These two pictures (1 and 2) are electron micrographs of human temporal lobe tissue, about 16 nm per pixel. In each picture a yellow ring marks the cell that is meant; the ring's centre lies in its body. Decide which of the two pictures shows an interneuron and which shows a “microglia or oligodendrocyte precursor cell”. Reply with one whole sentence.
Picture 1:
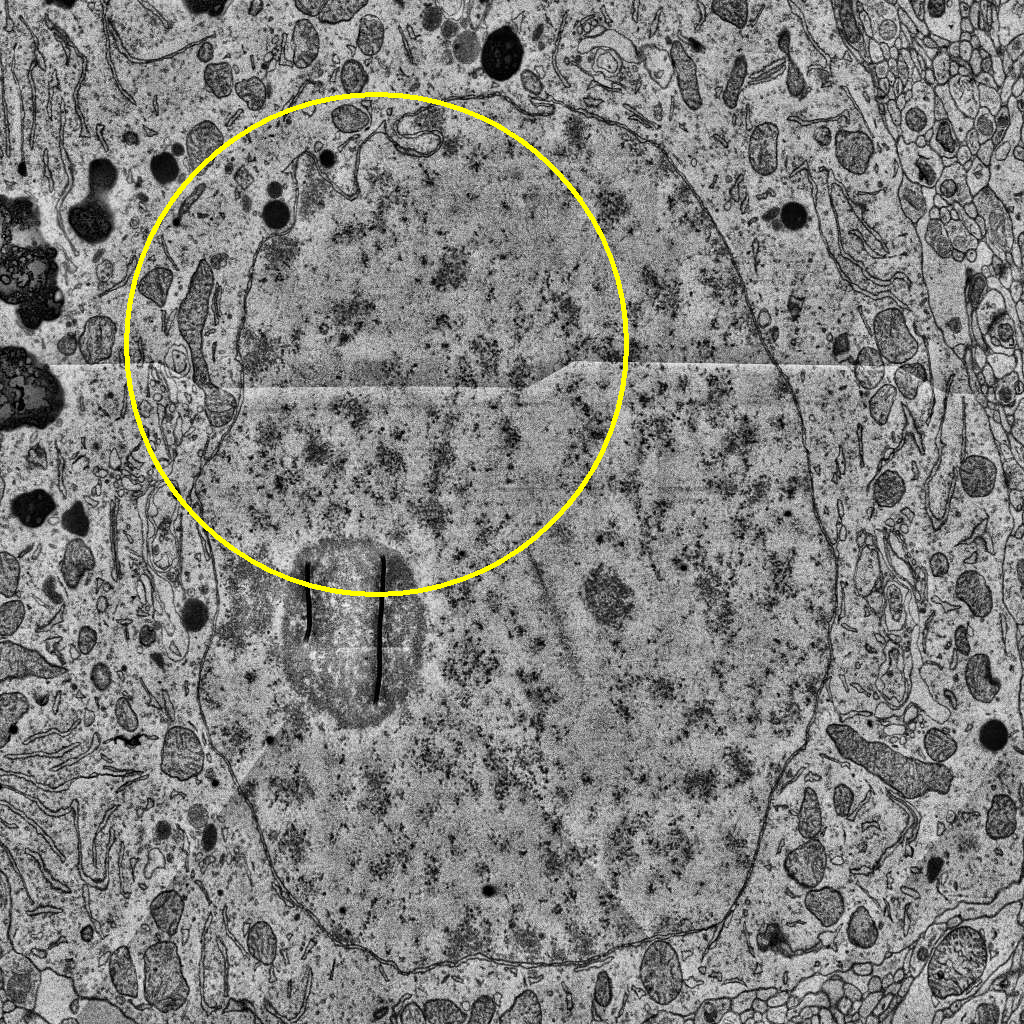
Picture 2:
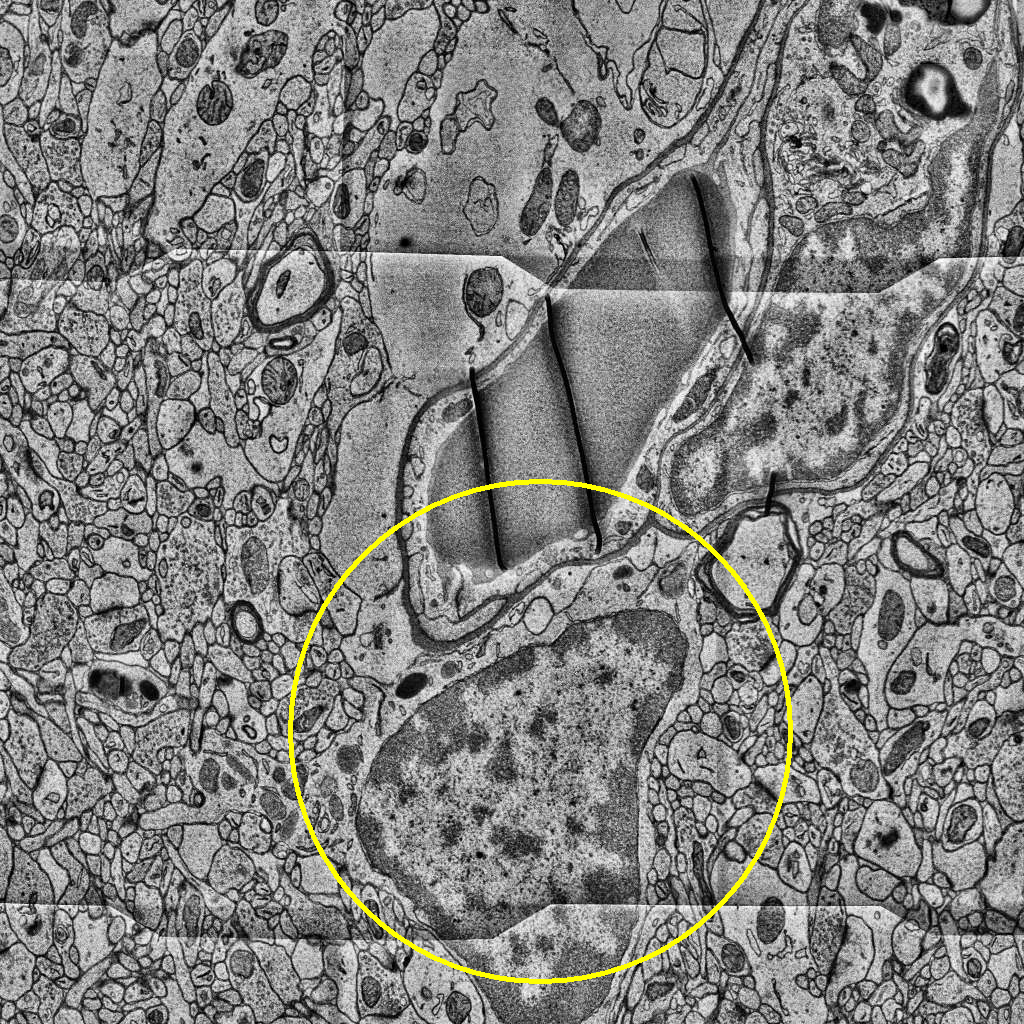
Picture 1 is of an interneuron, and picture 2 is of a “microglia or oligodendrocyte precursor cell”.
